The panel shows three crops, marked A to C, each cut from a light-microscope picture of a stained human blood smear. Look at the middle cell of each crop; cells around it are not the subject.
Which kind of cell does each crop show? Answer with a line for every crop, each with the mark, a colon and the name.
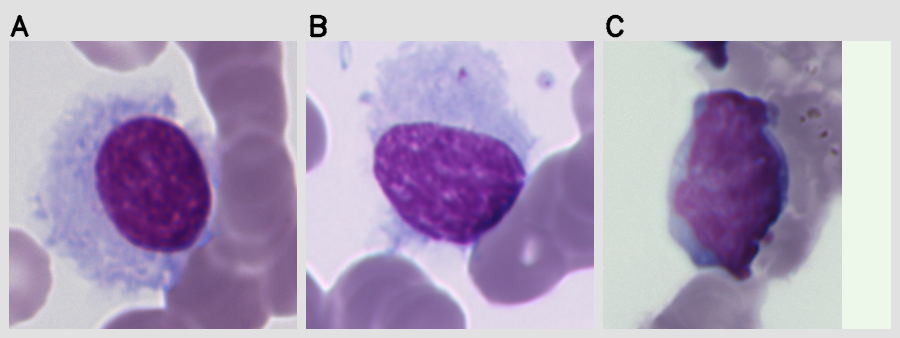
A: hairy cell
B: hairy cell
C: blast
